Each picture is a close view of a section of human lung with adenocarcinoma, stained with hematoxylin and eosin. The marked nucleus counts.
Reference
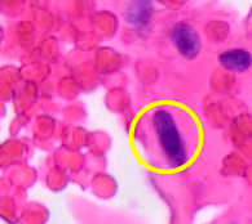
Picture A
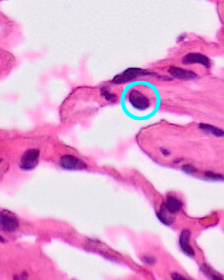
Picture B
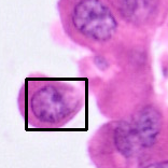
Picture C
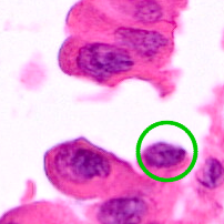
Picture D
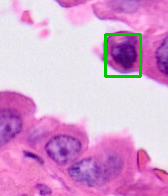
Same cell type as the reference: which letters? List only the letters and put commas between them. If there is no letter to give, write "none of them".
A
